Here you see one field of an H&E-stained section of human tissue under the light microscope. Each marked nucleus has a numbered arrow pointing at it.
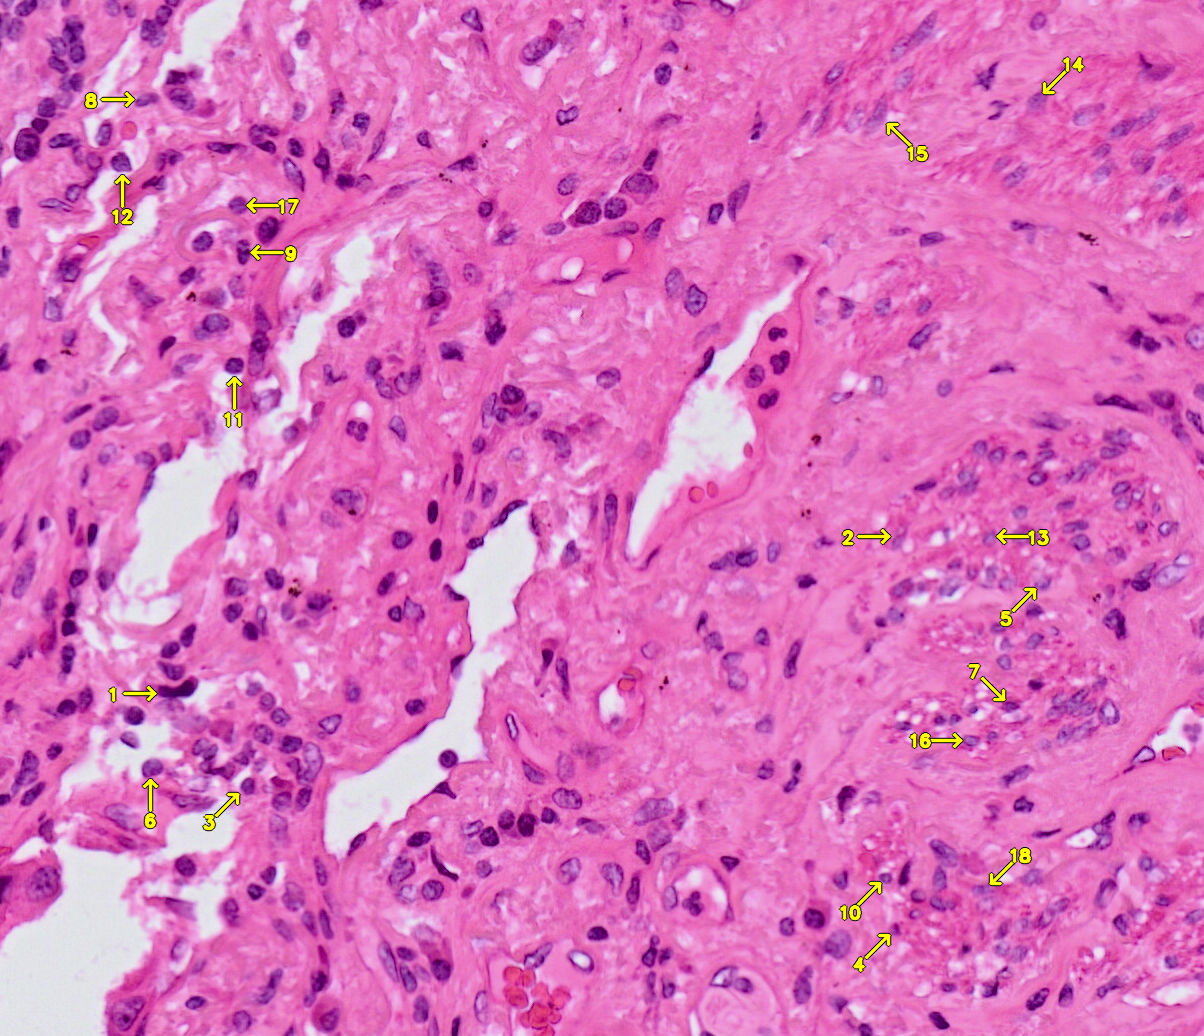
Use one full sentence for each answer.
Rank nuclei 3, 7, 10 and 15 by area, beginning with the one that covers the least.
Smallest first, the nuclei run 10, 7, 3, 15.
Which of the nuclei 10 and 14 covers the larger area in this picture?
It is nucleus 14, which covers about 1.5 times the area of nucleus 10.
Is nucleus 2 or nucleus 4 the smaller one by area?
With nucleus 2 about 2 times its size, nucleus 4 is the smaller of the two.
